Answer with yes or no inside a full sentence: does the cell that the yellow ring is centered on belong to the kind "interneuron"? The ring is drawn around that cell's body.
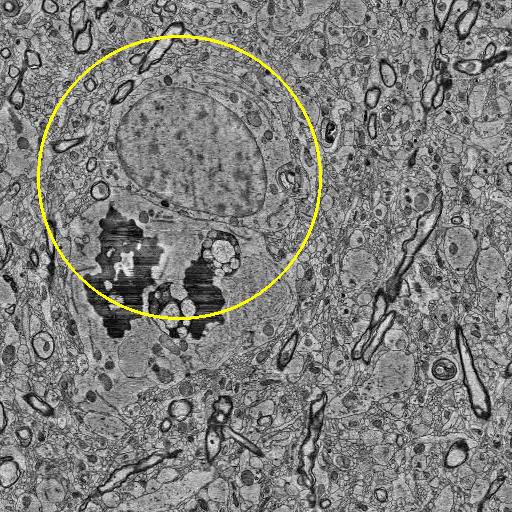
Yes, that kind describes the cell the yellow ring is centered on in the picture.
